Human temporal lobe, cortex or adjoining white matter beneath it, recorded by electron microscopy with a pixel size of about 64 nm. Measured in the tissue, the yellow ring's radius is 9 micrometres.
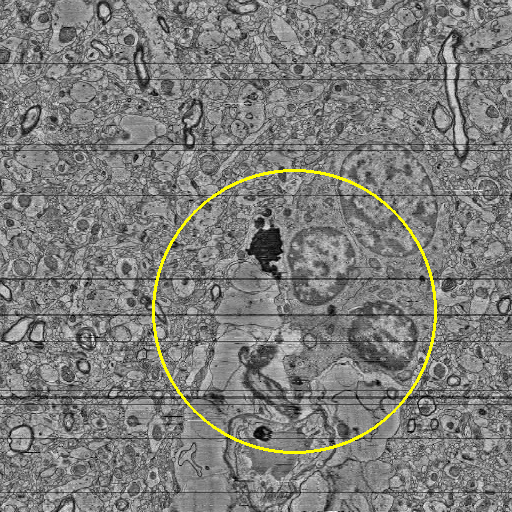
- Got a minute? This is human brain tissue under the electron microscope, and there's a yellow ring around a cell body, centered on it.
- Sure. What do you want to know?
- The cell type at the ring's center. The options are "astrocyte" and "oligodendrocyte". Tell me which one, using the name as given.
oligodendrocyte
